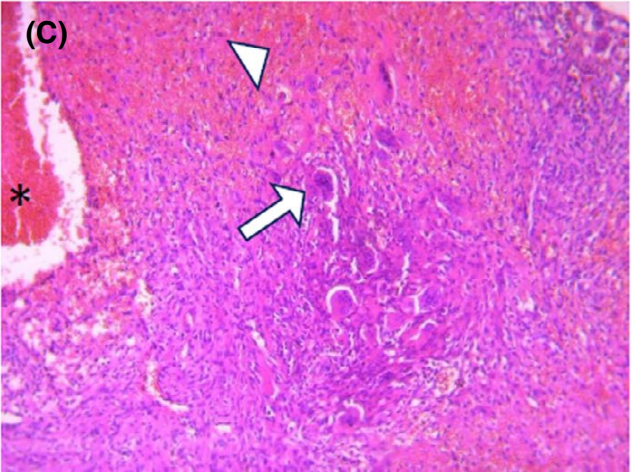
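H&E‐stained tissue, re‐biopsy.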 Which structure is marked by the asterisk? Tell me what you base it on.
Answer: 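The asterisk lies in a space packed with red blood. The space is bordered by cellular stroma.
Answer: blood‐filled cystic spaces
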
